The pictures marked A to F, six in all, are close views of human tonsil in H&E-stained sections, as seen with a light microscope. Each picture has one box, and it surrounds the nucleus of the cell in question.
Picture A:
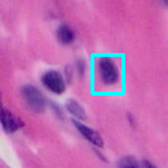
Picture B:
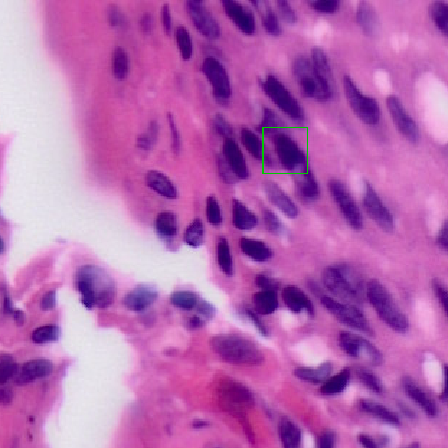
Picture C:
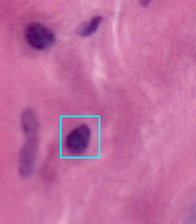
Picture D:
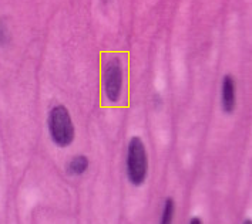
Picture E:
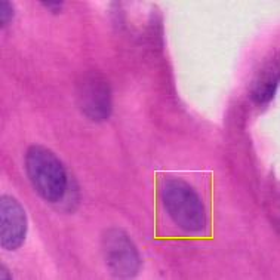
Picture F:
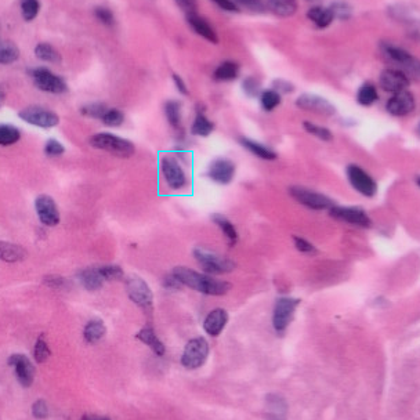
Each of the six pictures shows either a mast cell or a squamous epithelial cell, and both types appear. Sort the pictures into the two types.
A: mast cell
B: squamous epithelial cell
C: mast cell
D: squamous epithelial cell
E: squamous epithelial cell
F: mast cell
